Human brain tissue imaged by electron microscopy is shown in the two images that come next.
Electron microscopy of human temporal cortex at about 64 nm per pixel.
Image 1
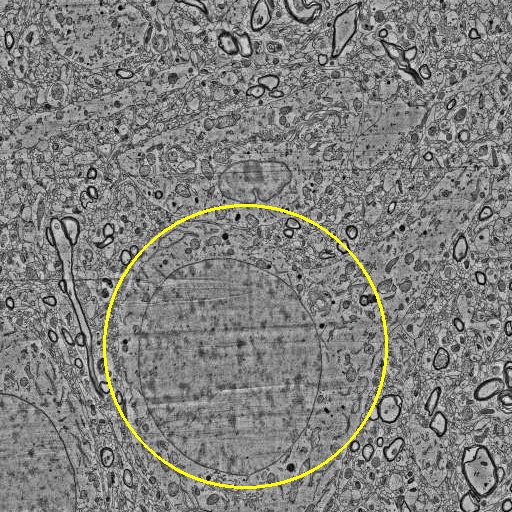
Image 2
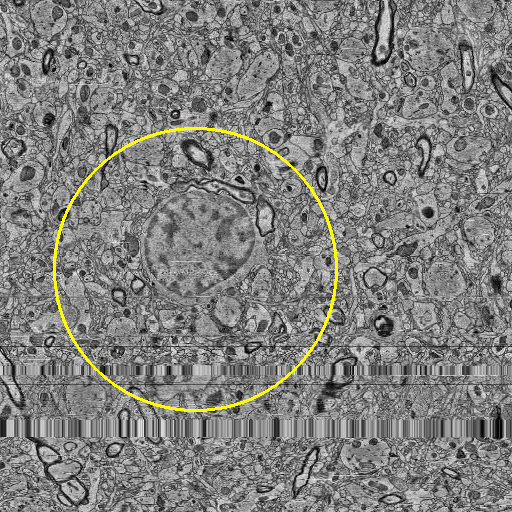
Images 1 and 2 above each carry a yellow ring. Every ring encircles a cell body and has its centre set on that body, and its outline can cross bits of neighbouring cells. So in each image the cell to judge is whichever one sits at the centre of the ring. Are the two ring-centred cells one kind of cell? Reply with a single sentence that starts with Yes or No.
No, in Image 1 and Image 2 the cells at the centres of their rings fall into two types.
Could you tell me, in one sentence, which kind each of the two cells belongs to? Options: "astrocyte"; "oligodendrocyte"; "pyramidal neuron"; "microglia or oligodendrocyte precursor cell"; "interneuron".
At the centre of the first ring sits a pyramidal neuron, and at the centre of the second sits an oligodendrocyte.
